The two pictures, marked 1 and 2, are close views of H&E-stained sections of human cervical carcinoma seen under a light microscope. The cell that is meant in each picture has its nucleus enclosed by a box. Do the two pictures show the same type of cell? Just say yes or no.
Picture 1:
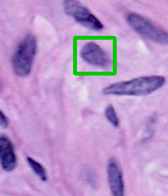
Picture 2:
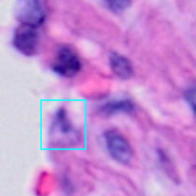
no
